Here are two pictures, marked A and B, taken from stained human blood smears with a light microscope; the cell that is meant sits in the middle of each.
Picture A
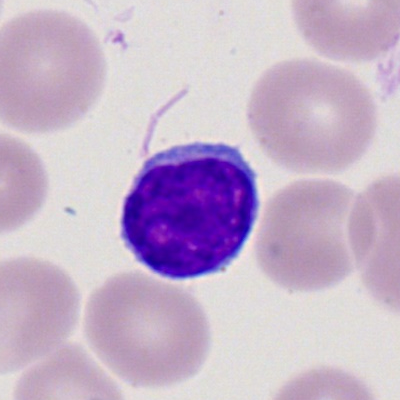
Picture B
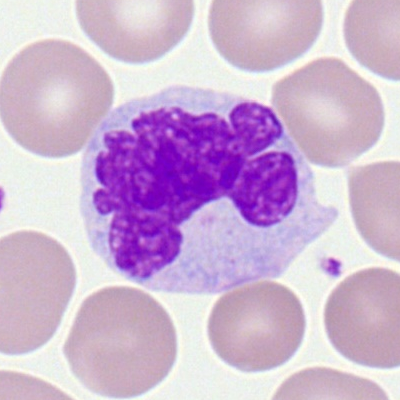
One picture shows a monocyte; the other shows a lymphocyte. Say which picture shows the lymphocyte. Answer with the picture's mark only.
A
